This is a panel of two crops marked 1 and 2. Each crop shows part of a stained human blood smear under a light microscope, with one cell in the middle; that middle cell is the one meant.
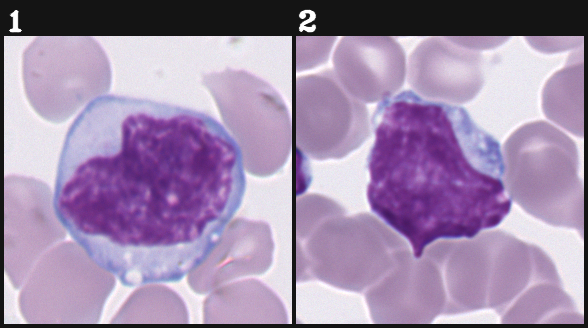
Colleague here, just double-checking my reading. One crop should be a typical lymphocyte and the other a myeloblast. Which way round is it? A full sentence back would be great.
Crop 1 has a myeloblast at its centre, and crop 2 has a typical lymphocyte.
